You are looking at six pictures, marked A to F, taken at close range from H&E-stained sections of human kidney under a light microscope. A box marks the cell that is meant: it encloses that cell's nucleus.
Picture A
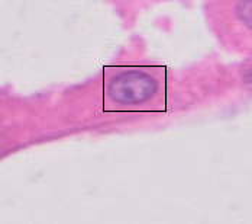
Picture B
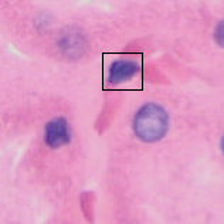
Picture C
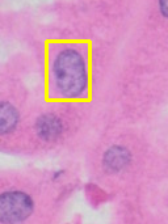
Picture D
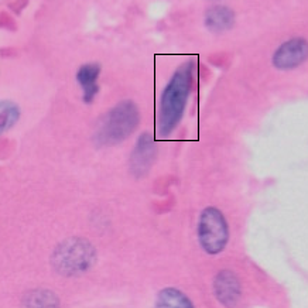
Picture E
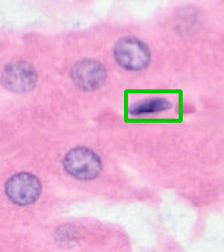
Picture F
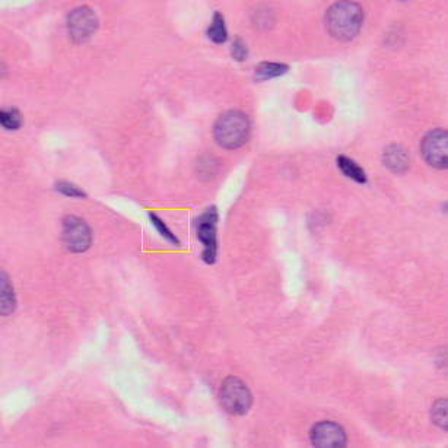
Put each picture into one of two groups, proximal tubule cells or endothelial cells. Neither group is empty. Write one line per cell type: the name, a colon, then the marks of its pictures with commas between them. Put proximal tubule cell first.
proximal tubule cell: A, C
endothelial cell: B, D, E, F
